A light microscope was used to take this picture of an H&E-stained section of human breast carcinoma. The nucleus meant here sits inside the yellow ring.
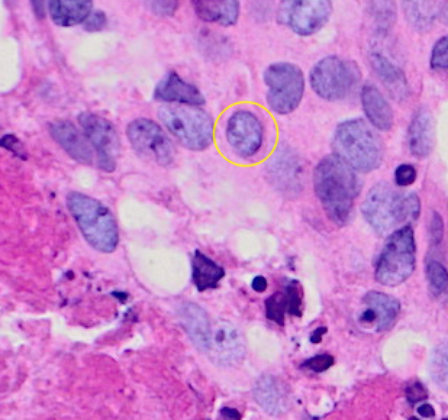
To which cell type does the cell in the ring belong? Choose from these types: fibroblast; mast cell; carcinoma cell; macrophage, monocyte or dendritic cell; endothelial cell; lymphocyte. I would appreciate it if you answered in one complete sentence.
In this tissue sample, the cell in the ring is a carcinoma cell.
